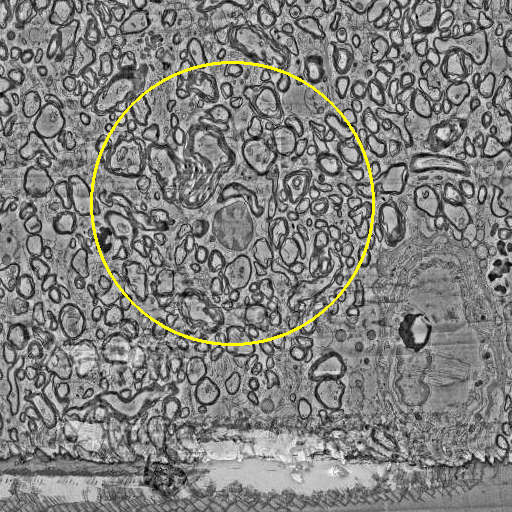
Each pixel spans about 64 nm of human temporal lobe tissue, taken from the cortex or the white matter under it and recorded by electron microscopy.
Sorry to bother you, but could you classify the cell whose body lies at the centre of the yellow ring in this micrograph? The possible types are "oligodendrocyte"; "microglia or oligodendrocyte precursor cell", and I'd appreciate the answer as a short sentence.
The ringed cell body is that of a microglial cell or oligodendrocyte precursor cell.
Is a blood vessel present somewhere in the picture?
Yes, a blood vessel is present in this picture.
